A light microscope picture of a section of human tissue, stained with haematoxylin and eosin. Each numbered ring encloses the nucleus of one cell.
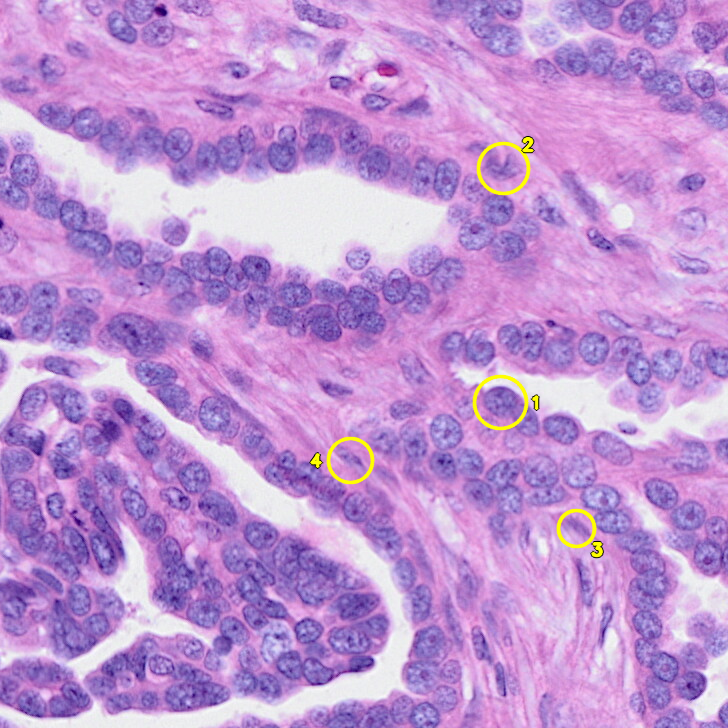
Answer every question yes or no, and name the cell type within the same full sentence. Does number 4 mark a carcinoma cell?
No, that is wrong: cell 4 is a fibroblast, and not a carcinoma cell.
